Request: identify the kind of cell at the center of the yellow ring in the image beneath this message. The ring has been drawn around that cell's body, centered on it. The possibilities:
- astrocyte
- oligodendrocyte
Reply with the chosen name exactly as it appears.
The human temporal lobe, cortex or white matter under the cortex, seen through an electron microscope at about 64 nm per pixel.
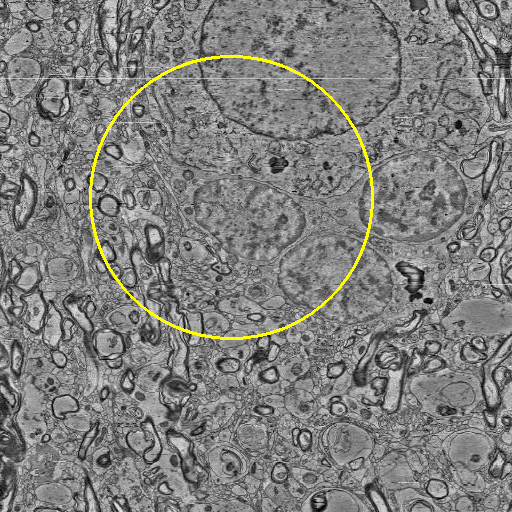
oligodendrocyte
